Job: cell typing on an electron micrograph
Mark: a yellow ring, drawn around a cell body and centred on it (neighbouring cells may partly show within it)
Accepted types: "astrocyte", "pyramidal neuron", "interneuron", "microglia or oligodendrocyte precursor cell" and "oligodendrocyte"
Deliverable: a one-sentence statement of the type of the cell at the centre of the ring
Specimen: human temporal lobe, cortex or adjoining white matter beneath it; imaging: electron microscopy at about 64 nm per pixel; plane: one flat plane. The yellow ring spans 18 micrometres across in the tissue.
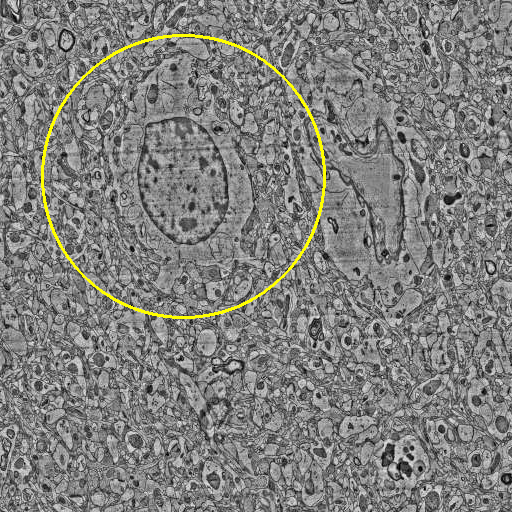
The centred cell body is that of an astrocyte.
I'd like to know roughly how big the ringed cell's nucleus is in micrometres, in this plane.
In this plane the nucleus measures roughly 8 by 6 micrometers.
